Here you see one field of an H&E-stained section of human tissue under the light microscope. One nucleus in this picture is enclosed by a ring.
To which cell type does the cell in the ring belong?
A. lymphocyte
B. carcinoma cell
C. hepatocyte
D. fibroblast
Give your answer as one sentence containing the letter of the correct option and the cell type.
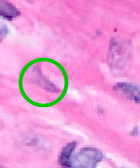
Here the cell in the ring is a fibroblast, which makes option D correct.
